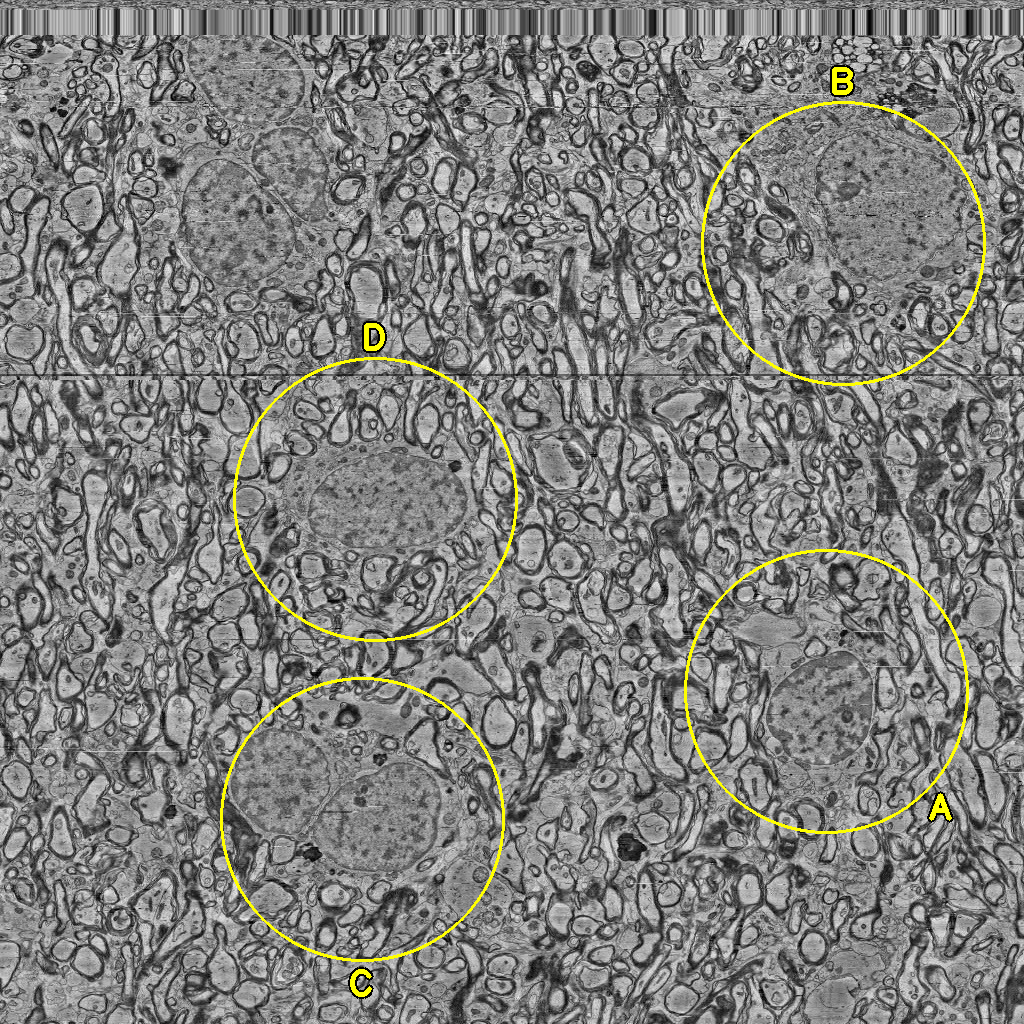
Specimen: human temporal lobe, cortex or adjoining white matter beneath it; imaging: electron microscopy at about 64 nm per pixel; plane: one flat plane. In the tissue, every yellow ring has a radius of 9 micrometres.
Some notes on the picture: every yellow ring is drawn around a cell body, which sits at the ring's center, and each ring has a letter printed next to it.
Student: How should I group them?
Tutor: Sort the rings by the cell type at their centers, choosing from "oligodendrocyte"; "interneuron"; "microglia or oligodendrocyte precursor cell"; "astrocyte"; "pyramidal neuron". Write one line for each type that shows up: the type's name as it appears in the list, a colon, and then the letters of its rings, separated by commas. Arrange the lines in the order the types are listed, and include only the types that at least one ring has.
oligodendrocyte: C, D
microglia or oligodendrocyte precursor cell: A
astrocyte: B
